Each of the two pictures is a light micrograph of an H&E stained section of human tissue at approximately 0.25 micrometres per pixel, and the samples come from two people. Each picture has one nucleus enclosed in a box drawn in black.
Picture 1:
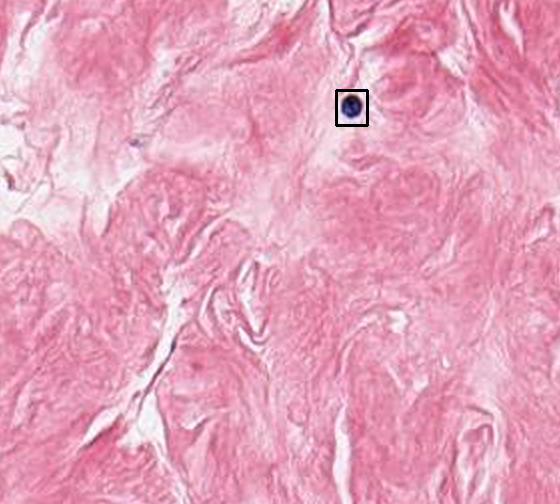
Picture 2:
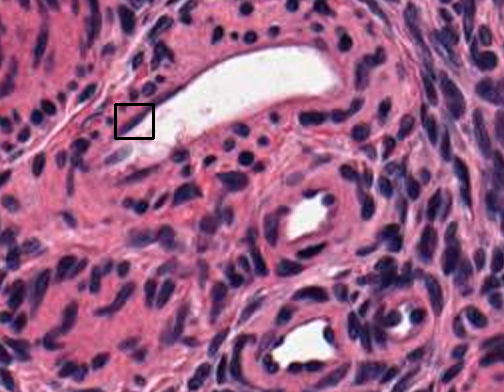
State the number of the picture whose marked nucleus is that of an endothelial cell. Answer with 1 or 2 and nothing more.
2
